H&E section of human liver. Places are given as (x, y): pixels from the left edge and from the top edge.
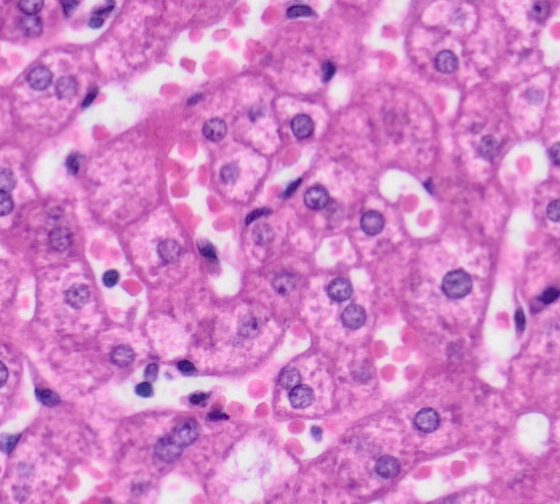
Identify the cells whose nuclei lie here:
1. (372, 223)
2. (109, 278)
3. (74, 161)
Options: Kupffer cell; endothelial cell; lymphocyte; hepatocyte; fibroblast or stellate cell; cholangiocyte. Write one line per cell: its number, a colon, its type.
1: hepatocyte
2: lymphocyte
3: Kupffer cell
